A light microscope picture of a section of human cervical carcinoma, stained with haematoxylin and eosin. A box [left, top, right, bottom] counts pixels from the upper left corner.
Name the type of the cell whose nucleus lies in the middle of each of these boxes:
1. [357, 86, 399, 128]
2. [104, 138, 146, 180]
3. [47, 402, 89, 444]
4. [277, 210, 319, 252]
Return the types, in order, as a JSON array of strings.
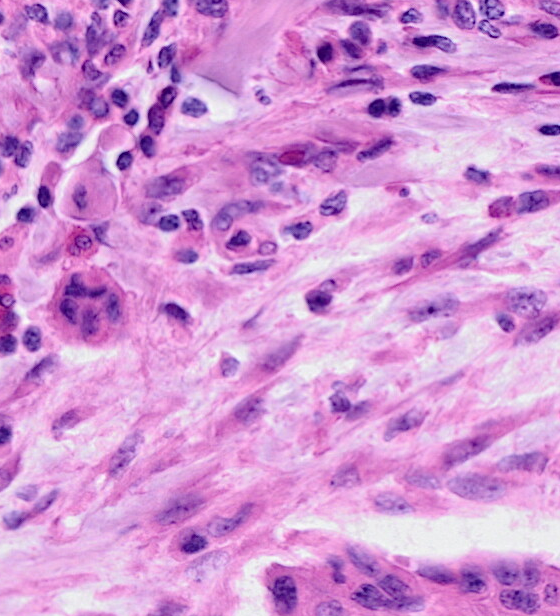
["lymphocyte", "lymphocyte", "fibroblast", "lymphocyte"]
